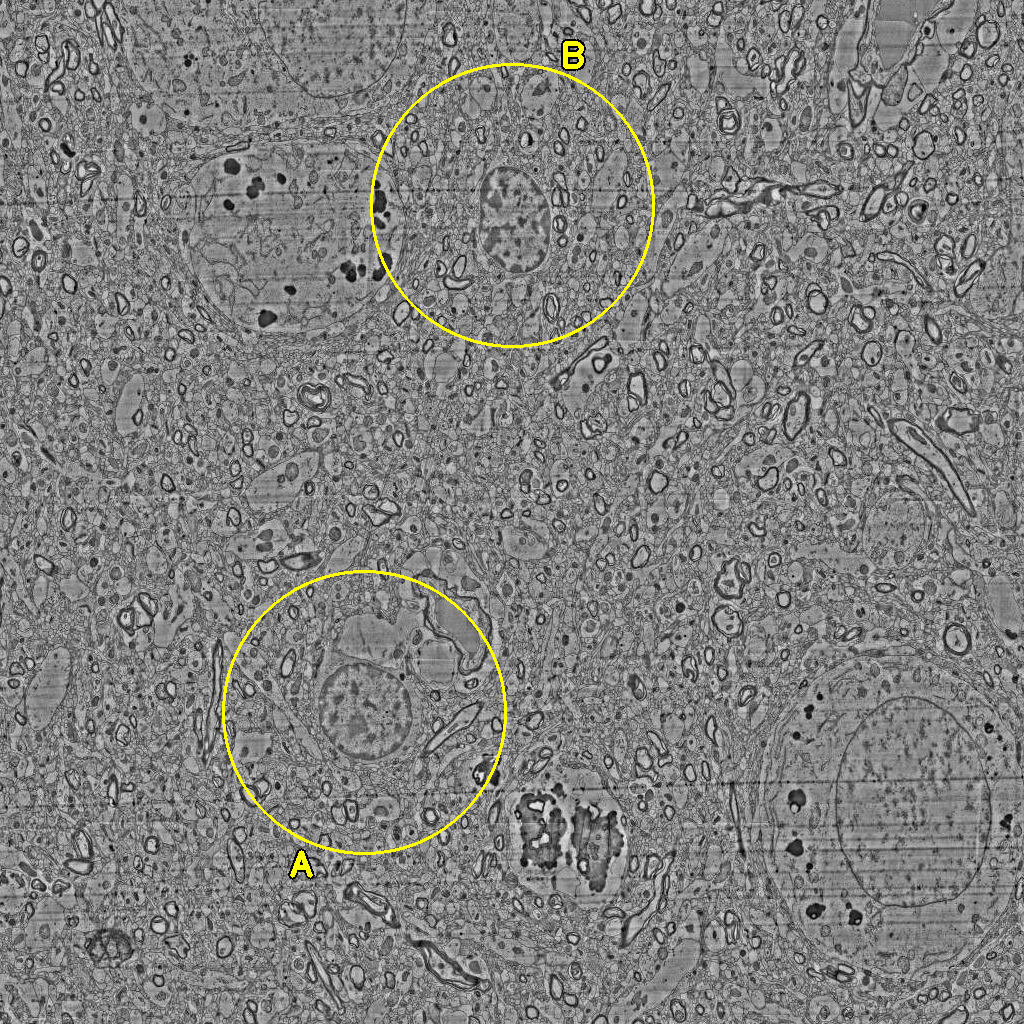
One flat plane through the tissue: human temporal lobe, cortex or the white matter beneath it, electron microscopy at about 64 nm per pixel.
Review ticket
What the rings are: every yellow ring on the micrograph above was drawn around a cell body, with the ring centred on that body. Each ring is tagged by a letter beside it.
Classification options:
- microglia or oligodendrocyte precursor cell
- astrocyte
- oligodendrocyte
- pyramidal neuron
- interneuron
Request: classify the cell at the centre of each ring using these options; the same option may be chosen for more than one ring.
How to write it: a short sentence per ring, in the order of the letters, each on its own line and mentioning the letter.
The cell centred in ring A is an oligodendrocyte.
The cell centred in ring B is a microglial cell or oligodendrocyte precursor cell.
